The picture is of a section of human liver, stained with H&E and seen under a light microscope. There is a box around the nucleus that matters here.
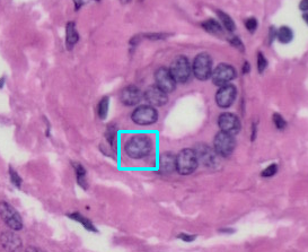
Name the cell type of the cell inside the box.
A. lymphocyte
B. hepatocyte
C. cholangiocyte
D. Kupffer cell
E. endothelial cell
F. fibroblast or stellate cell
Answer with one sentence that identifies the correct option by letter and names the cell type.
Here the right answer is C, with the cell inside the box being a cholangiocyte.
